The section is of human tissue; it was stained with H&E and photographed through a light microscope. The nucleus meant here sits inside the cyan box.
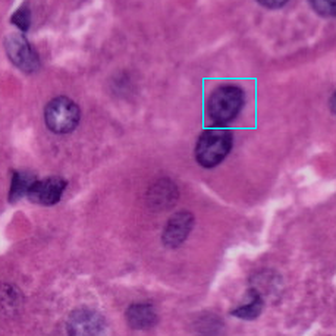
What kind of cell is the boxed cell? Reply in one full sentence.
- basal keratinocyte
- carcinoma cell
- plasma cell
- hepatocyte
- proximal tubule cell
In terms of identity, the boxed cell is a hepatocyte.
